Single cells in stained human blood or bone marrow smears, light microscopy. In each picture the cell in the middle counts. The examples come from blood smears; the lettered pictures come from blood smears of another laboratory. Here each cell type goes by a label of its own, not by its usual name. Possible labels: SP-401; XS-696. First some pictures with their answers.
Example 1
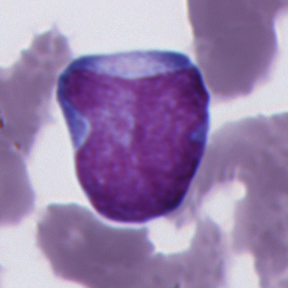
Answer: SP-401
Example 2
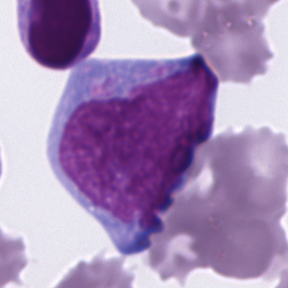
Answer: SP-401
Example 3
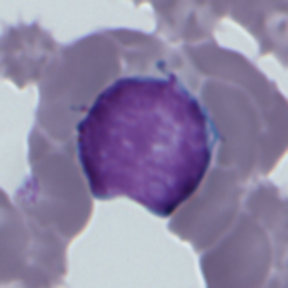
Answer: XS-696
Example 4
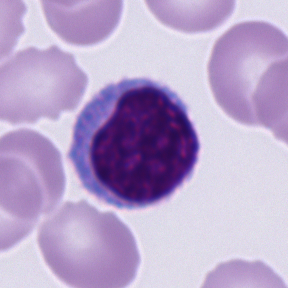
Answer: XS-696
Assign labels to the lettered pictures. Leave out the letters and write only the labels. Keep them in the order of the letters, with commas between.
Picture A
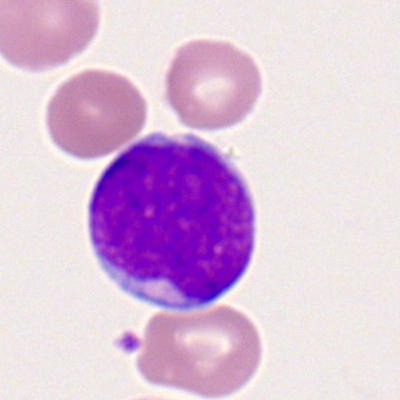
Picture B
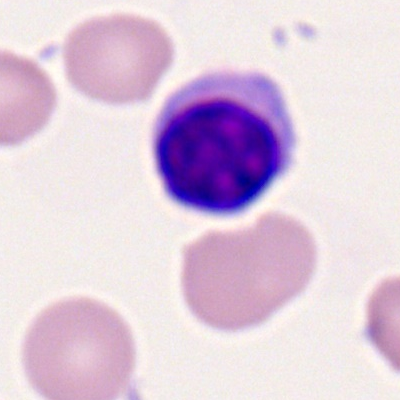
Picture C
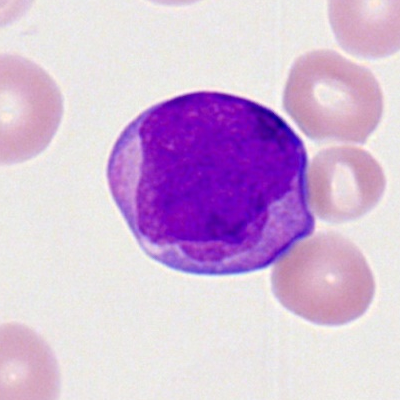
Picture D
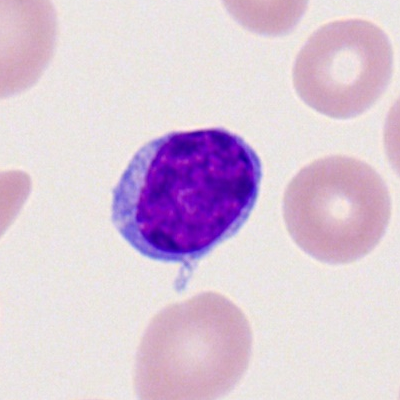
SP-401, XS-696, SP-401, XS-696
